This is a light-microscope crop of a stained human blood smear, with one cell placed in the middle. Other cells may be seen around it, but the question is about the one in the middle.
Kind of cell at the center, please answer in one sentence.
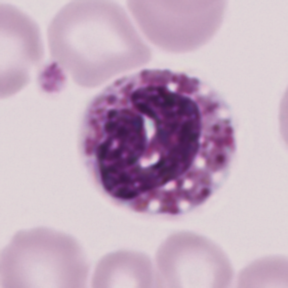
Answering briefly, the cell in the middle is an eosinophil.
